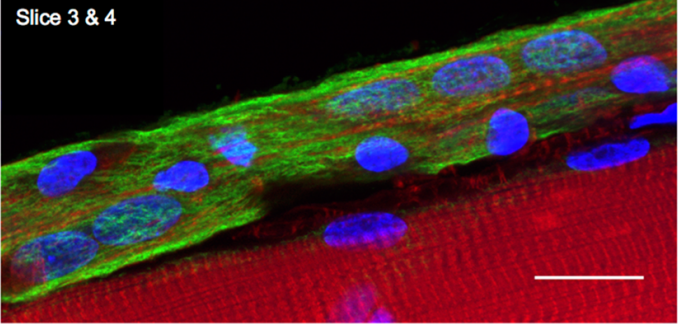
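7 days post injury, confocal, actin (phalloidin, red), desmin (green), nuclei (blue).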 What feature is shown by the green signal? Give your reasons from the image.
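Green forms a network of fine filaments enveloping the thin fibre. The green is densest at the fibre's edges and surrounds the blue nuclei. That points to this answer: filamentous sheath.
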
